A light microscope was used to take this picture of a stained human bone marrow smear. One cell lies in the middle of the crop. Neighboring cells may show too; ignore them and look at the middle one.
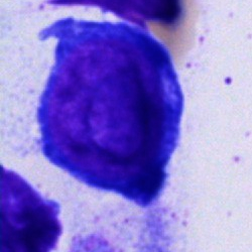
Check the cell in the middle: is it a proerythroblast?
yes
